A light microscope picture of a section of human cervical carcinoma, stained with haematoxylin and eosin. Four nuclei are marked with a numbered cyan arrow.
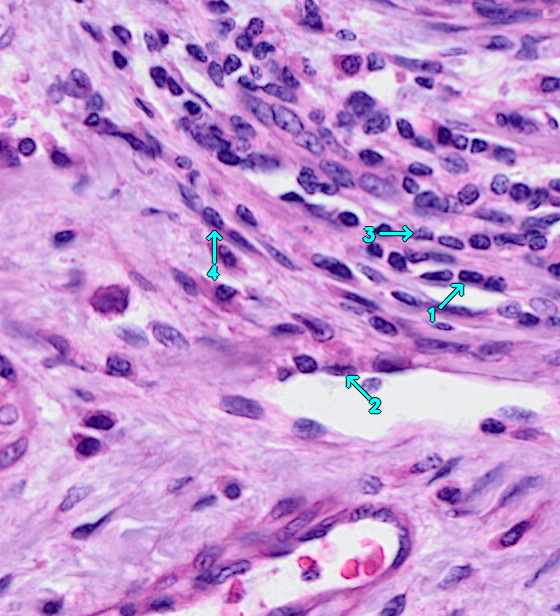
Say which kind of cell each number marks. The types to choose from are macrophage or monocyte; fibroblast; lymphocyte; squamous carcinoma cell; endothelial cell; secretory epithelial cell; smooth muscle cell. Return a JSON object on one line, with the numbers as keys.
{"1": "lymphocyte", "2": "endothelial cell", "3": "lymphocyte", "4": "lymphocyte"}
